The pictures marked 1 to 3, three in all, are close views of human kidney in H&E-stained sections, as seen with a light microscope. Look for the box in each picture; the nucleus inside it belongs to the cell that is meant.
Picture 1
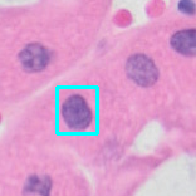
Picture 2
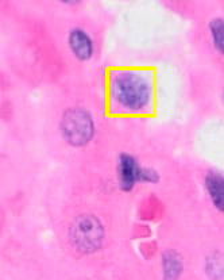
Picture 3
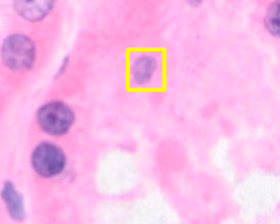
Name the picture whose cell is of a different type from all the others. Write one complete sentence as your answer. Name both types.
Picture 2 is the odd one out: it shows a “loop of Henle or distal tubule cell”, while the others show proximal tubule cells.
